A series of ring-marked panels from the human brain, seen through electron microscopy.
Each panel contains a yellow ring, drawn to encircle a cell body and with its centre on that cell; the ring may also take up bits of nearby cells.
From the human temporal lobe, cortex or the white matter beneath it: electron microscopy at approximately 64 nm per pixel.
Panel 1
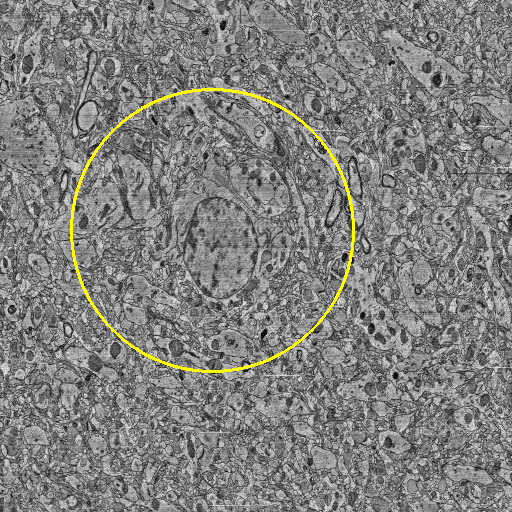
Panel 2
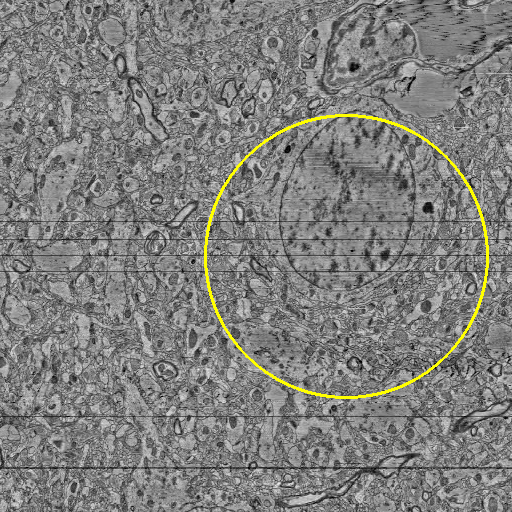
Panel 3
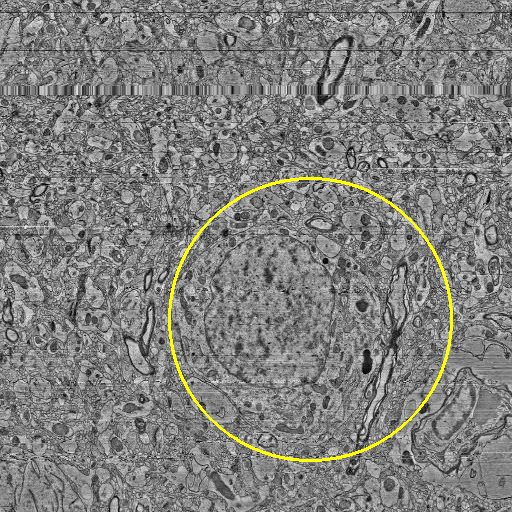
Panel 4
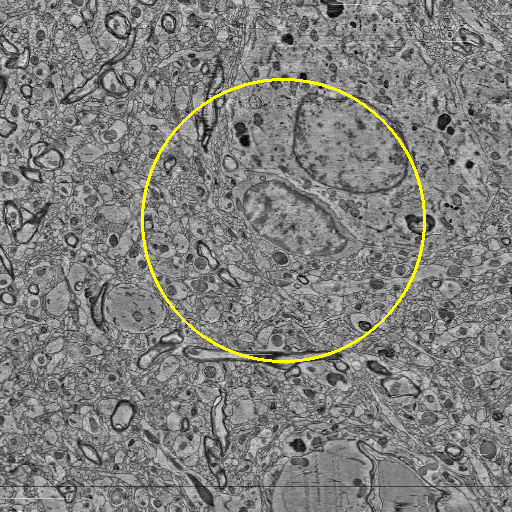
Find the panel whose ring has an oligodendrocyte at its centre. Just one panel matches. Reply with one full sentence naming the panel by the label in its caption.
The sought cell lies at the centre of the ring shown in Panel 4.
